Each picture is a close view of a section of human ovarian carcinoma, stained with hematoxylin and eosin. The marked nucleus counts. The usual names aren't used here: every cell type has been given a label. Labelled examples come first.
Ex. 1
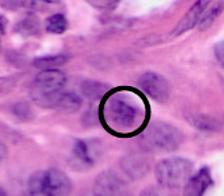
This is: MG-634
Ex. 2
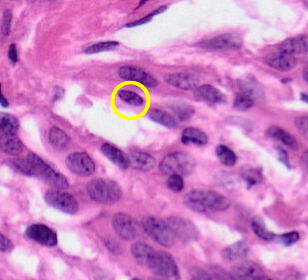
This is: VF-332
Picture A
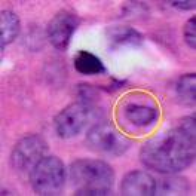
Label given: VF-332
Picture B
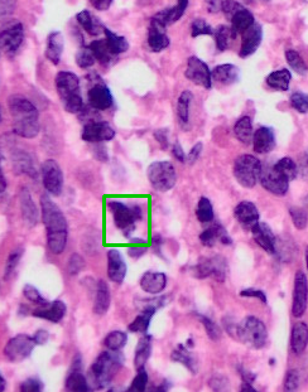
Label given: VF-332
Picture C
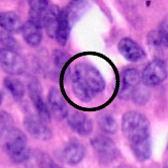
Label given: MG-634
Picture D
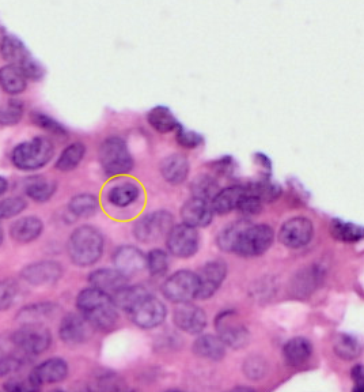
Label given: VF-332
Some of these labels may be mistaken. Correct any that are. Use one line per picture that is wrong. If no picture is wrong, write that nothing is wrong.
Wrong: B (VF-332); correct: MG-634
